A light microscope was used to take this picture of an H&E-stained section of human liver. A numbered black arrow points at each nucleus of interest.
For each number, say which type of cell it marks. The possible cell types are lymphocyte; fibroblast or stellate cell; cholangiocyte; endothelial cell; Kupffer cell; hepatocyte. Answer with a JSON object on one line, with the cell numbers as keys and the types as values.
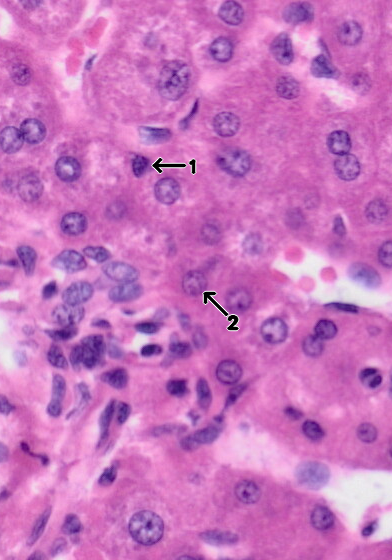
{"1": "fibroblast or stellate cell", "2": "hepatocyte"}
